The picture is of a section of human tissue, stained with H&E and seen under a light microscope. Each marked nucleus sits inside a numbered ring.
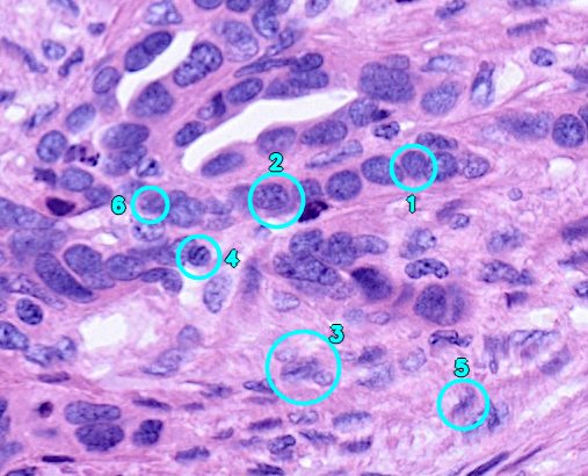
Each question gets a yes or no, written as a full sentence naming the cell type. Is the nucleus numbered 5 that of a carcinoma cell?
No, the cell indicated by 5 is a fibroblast instead of a carcinoma cell.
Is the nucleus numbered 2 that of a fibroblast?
No, the marked cell 2 is not a fibroblast, being instead a carcinoma cell.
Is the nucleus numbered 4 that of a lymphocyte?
Yes, what number 4 marks is a lymphocyte.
